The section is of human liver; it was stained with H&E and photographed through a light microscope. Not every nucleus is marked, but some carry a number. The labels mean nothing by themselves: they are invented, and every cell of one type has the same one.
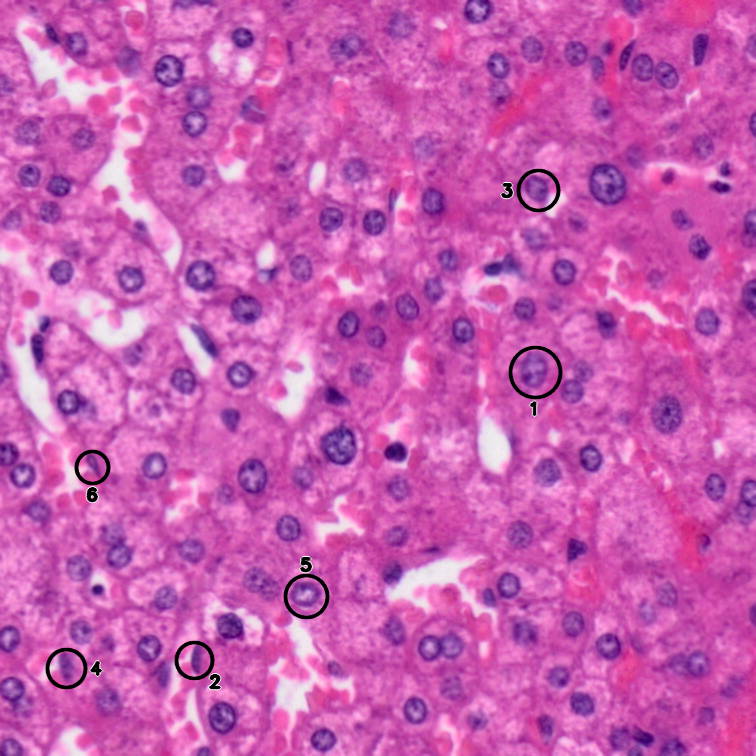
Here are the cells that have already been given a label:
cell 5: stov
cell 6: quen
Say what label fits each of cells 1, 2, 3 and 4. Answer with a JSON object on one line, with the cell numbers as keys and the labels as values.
{"1": "stov", "2": "quen", "3": "stov", "4": "quen"}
